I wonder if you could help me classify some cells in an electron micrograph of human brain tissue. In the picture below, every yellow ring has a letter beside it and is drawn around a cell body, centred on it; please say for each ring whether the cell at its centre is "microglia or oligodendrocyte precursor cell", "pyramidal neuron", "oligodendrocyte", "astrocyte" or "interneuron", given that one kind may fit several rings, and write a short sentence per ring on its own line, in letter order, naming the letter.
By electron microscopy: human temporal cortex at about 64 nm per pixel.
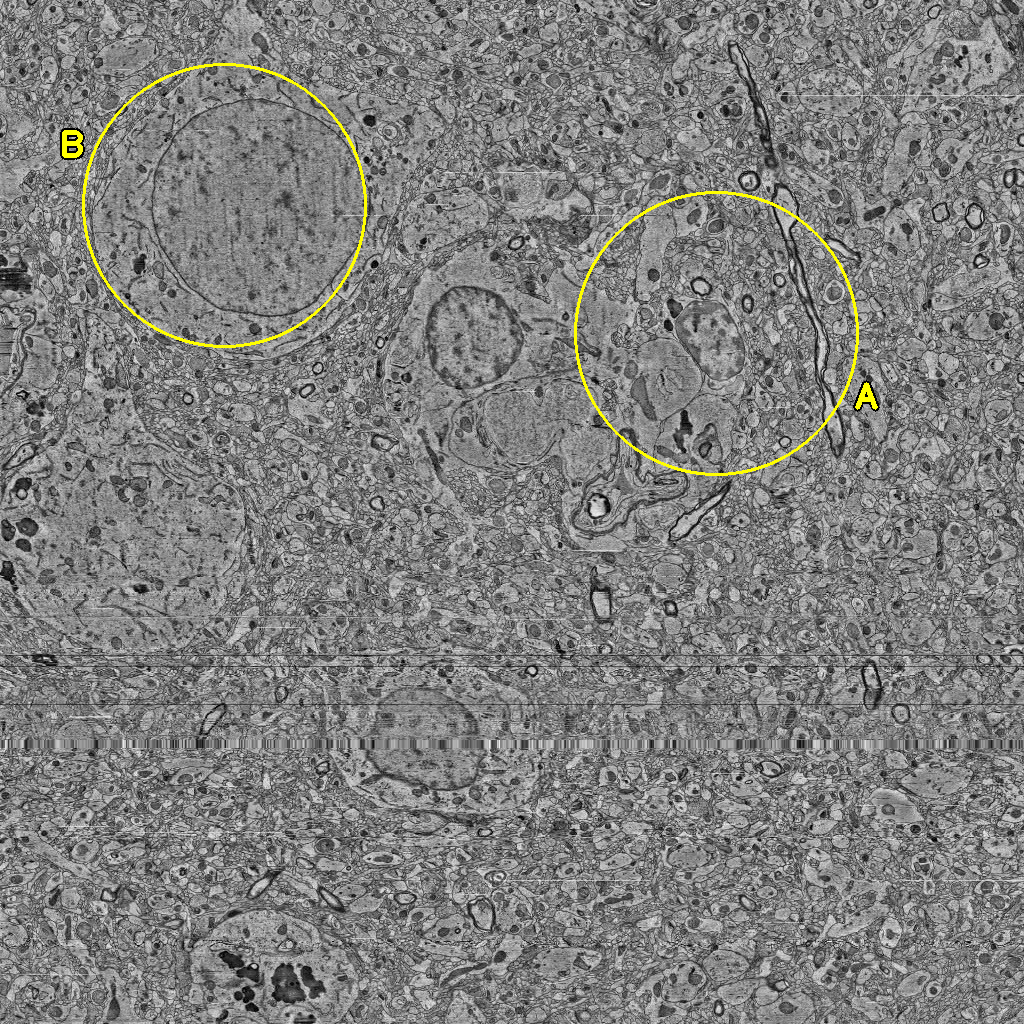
Centred in ring A is a microglial cell or oligodendrocyte precursor cell.
Centred in ring B is a pyramidal neuron.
